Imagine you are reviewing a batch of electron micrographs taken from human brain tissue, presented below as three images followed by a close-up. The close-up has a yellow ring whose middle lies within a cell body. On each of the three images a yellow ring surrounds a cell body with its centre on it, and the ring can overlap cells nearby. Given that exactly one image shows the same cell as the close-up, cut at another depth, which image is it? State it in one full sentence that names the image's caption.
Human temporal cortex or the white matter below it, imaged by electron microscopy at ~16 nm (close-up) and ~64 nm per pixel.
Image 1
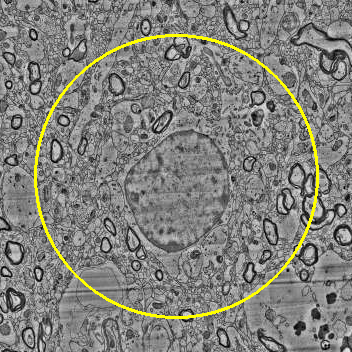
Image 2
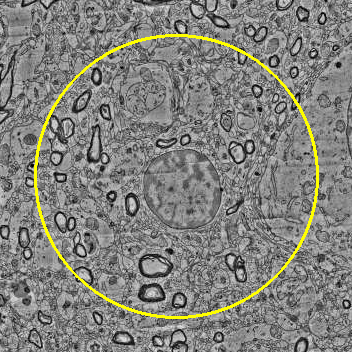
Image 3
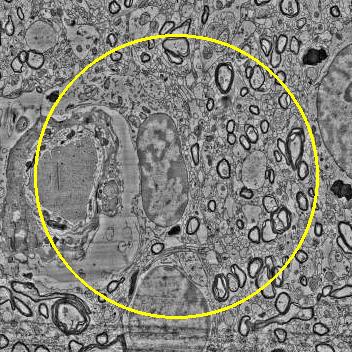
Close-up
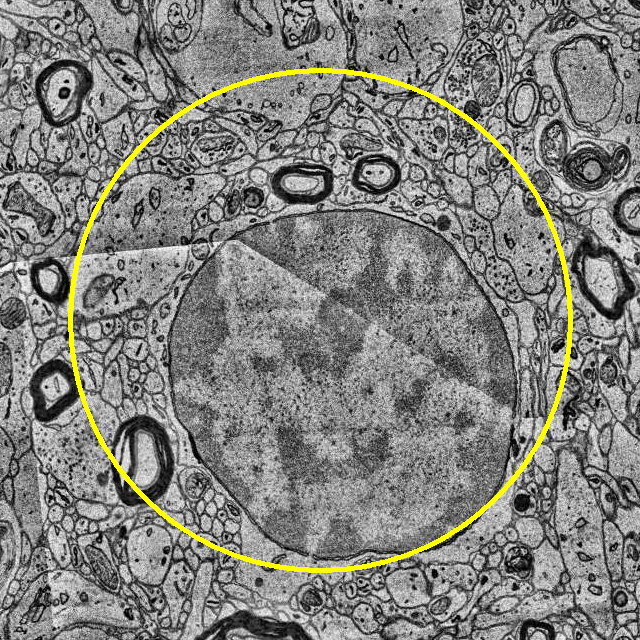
Enlarged in the close-up is the cell circled in Image 2.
